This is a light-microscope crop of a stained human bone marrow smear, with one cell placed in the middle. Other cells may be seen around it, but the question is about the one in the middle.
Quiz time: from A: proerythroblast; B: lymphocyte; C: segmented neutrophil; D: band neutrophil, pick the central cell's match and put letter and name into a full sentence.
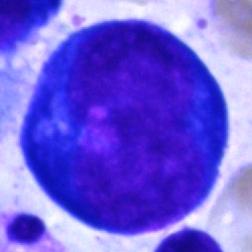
What option A states is correct, the central cell being a proerythroblast.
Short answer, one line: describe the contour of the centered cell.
Expected answer: a smooth cell outline without projections of any sort.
